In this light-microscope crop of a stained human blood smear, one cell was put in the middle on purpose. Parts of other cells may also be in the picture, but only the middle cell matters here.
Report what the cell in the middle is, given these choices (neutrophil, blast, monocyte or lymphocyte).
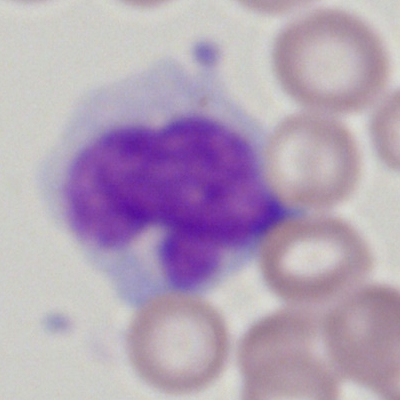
monocyte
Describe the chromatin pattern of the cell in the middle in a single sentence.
The chromatin is fine; coarse clumps are not a feature here.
